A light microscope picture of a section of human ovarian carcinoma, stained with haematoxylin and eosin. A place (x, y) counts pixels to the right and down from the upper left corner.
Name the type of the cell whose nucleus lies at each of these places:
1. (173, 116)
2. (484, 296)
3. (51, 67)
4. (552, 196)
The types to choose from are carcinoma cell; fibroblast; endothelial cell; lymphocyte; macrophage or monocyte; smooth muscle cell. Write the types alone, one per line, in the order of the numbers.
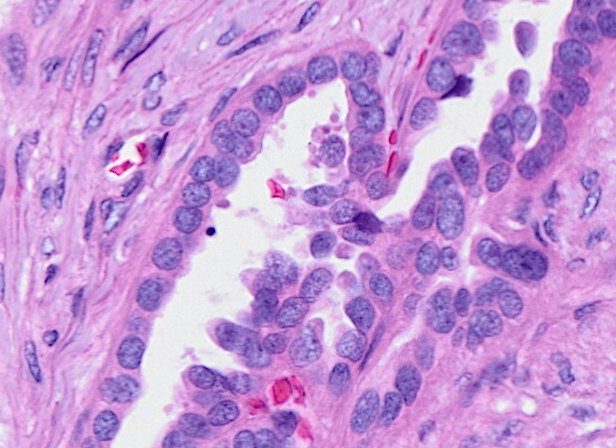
fibroblast
carcinoma cell
fibroblast
fibroblast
